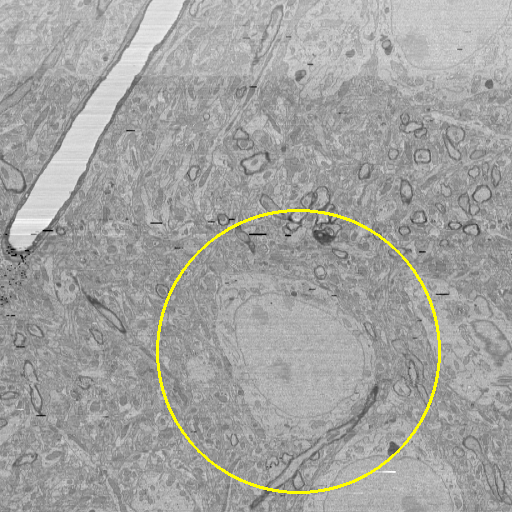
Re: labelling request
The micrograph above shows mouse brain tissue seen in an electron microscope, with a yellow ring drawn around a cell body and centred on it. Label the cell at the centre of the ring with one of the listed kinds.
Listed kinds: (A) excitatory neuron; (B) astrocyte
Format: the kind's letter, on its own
A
